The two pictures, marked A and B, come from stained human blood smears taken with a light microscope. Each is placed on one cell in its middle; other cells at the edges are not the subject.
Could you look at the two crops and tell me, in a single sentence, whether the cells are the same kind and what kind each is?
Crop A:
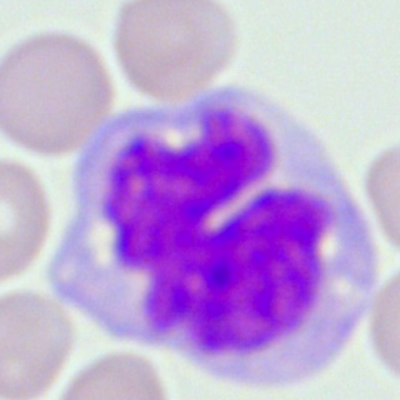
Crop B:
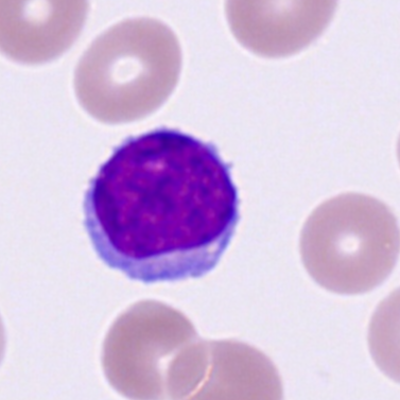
No, crop A contains a monocyte, and crop B contains a lymphocyte.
